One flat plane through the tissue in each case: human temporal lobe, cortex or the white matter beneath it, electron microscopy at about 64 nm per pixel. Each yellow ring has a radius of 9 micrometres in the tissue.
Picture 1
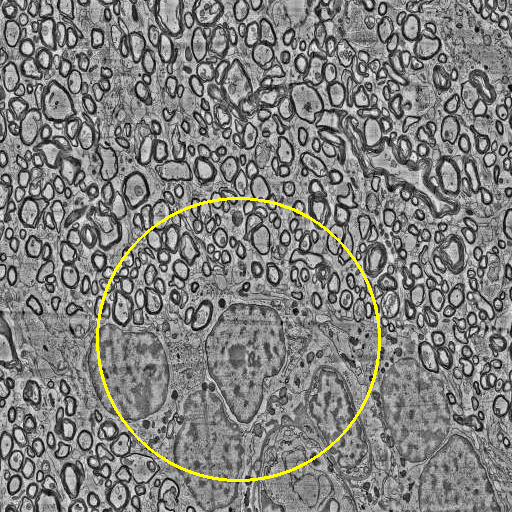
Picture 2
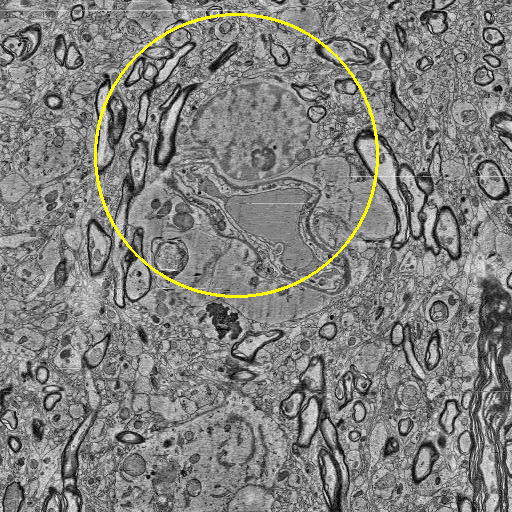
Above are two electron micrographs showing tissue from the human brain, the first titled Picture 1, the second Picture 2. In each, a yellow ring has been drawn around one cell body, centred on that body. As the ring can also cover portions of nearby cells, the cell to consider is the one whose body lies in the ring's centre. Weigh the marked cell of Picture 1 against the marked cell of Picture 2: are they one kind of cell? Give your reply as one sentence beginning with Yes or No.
No, the two cells sitting at the ring centres in the pictures are of two kinds.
